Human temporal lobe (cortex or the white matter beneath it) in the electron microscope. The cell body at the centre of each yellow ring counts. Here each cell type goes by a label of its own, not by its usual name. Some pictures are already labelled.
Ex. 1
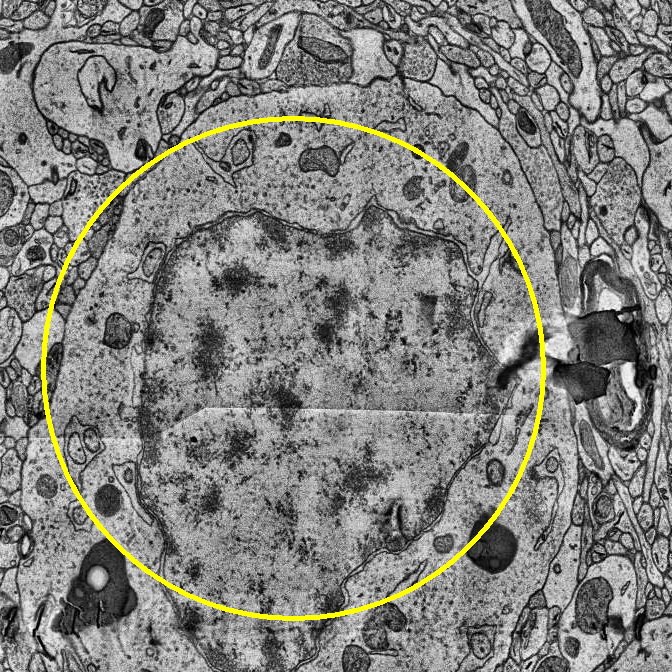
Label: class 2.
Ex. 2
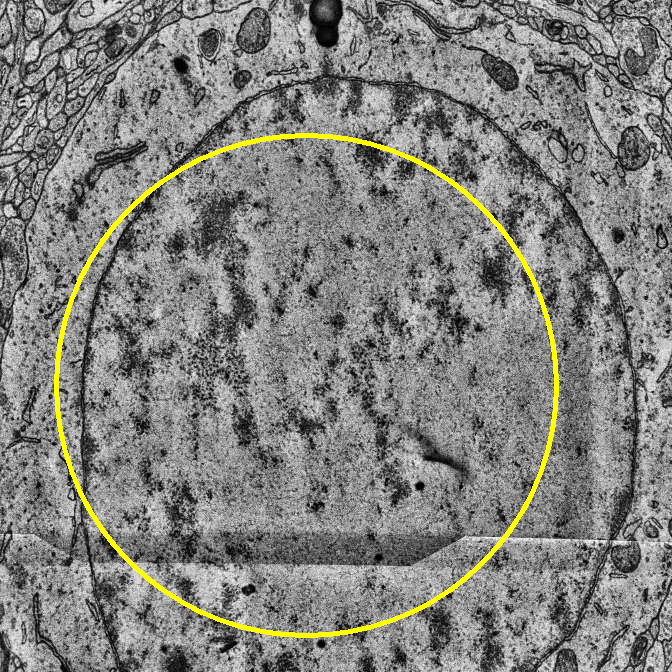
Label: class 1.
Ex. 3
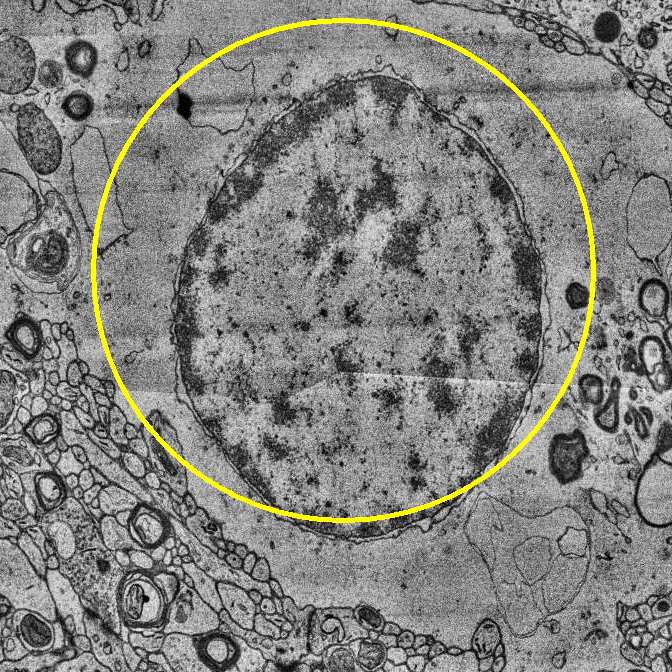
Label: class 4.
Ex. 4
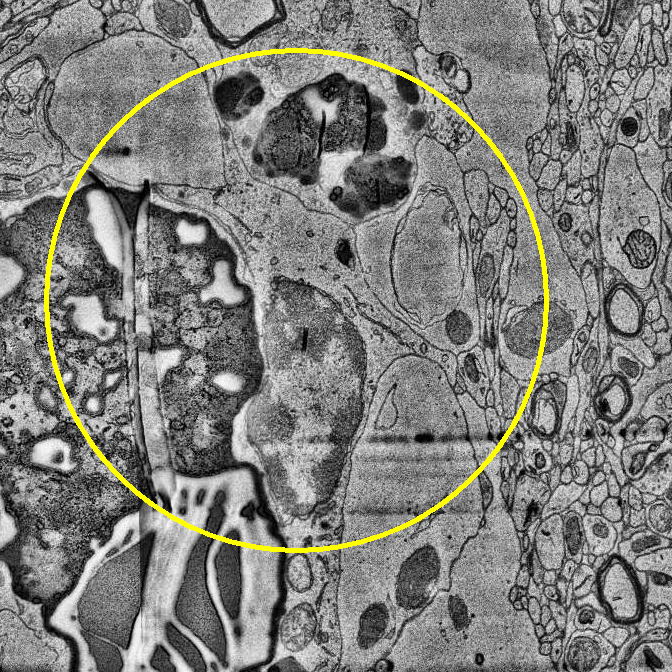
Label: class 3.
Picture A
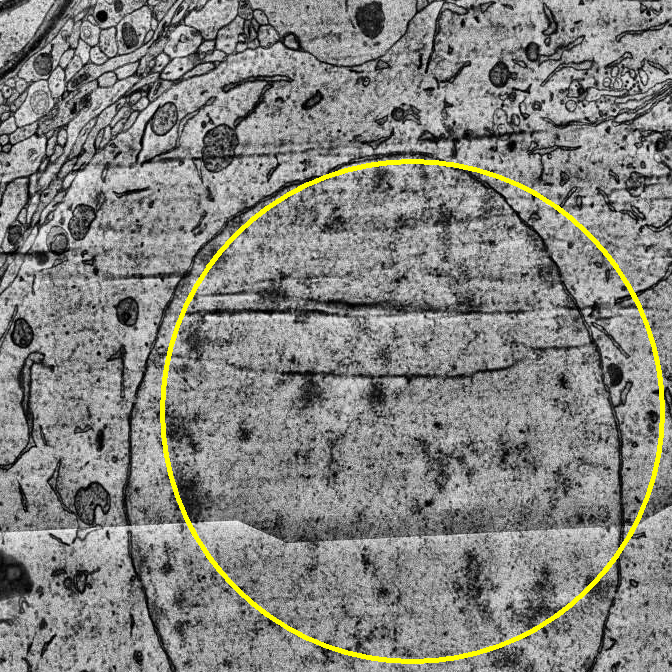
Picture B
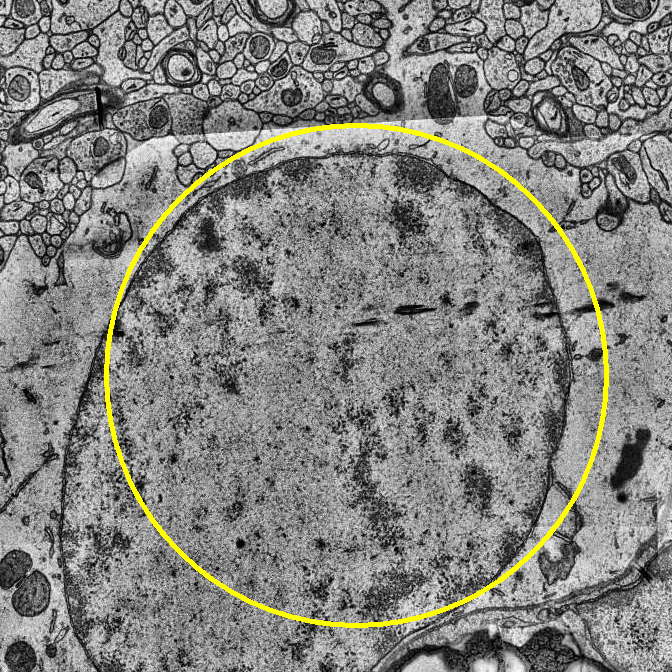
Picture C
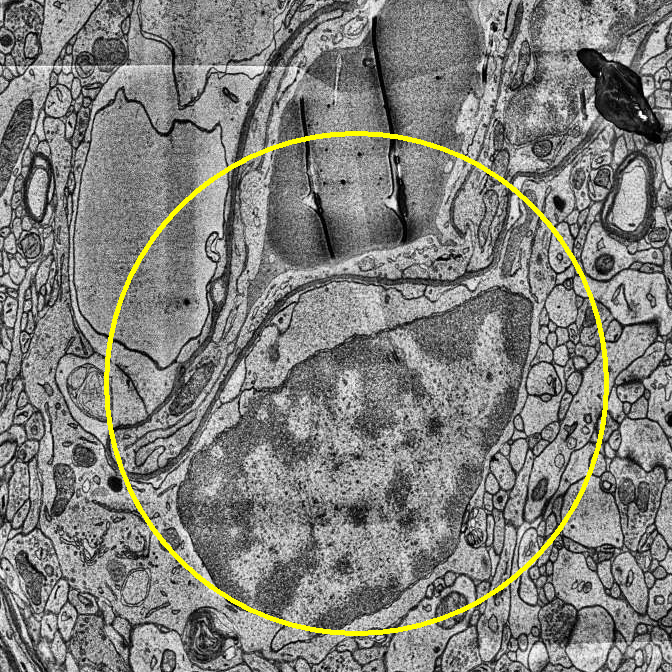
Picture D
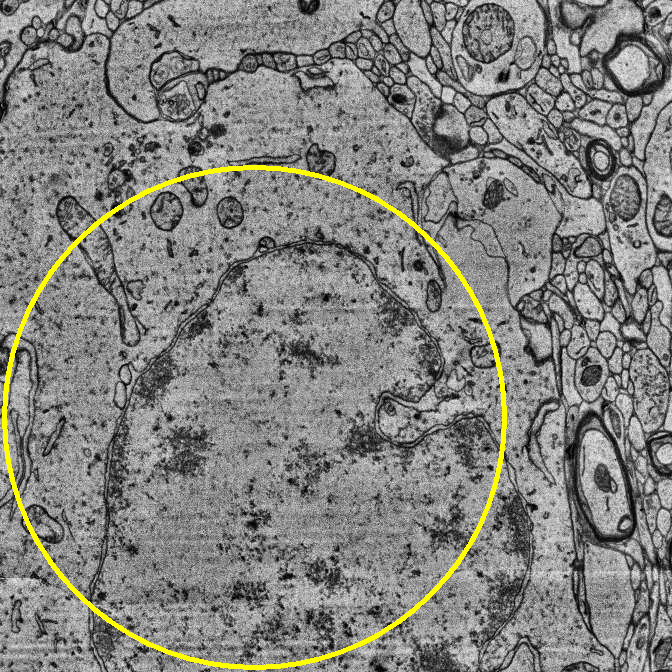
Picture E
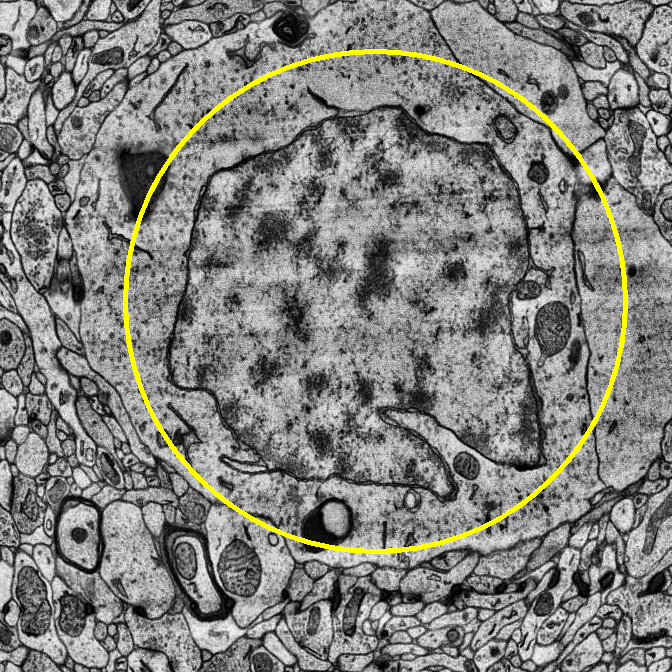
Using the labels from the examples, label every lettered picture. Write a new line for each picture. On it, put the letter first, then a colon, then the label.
A: class 1.
B: class 4.
C: class 3.
D: class 2.
E: class 2.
